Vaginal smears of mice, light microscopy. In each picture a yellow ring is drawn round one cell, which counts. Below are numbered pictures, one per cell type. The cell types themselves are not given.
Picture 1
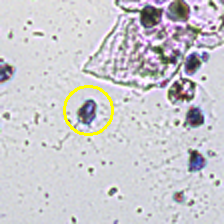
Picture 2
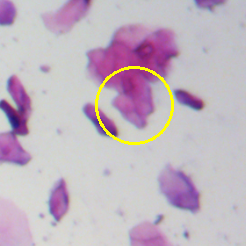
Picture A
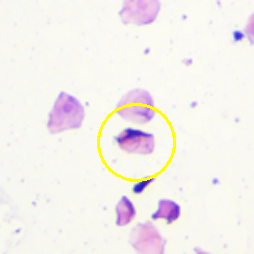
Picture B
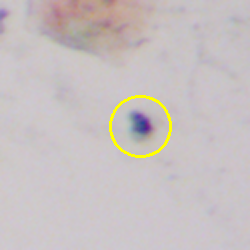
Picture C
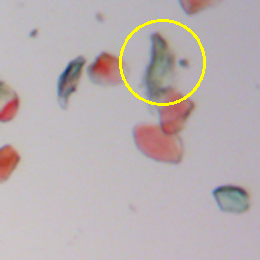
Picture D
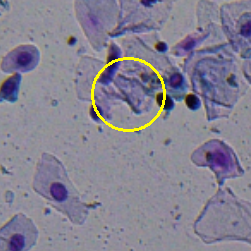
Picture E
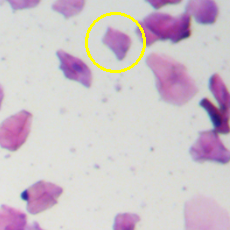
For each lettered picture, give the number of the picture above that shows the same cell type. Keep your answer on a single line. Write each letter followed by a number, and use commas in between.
A 2, B 1, C 2, D 2, E 2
